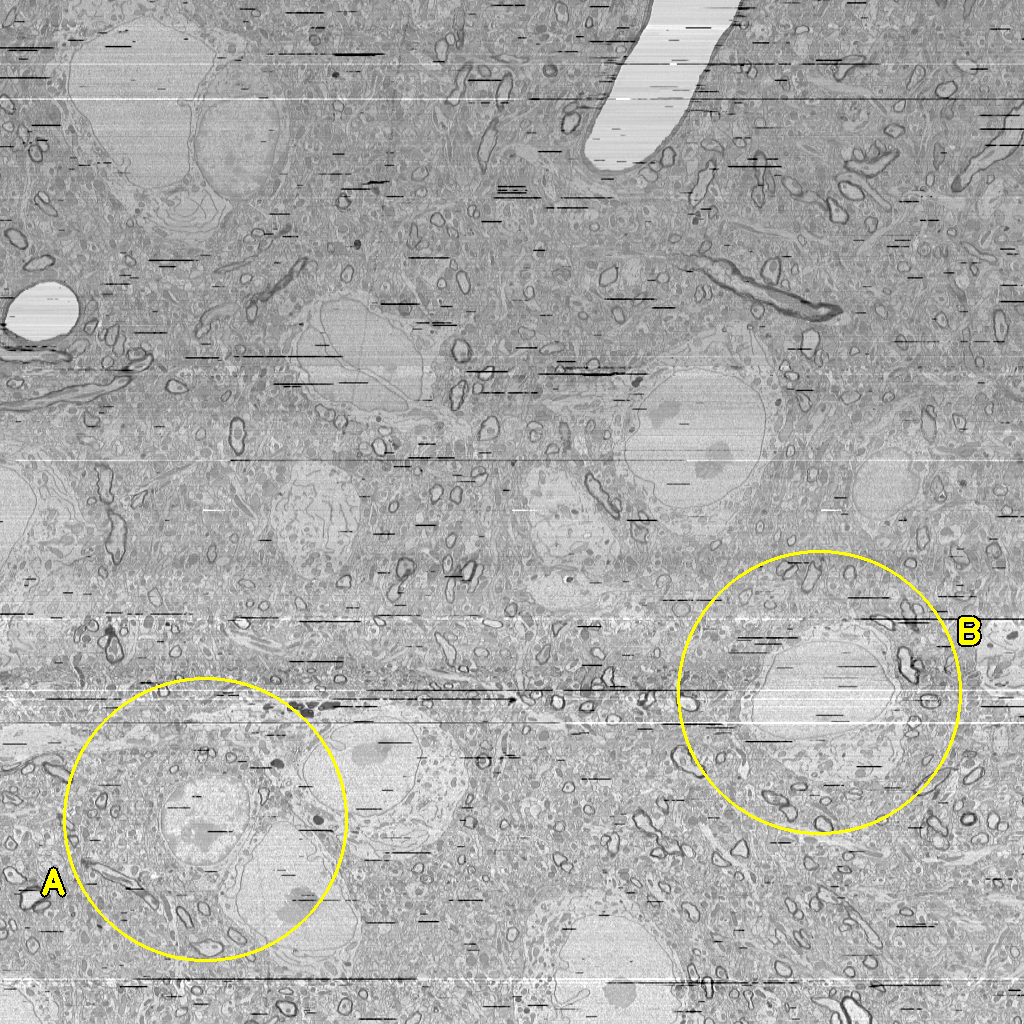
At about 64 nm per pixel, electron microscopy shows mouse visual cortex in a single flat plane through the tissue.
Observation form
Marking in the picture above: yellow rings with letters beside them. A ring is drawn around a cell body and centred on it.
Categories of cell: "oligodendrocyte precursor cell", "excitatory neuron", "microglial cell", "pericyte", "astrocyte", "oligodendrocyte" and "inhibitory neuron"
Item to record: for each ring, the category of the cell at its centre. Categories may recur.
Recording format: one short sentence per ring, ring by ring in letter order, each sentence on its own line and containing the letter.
Ring A is placed on an oligodendrocyte.
Ring B is placed on an excitatory neuron.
